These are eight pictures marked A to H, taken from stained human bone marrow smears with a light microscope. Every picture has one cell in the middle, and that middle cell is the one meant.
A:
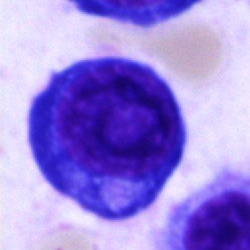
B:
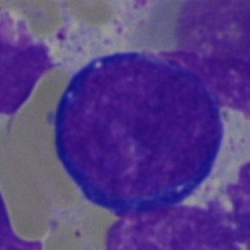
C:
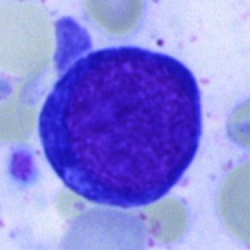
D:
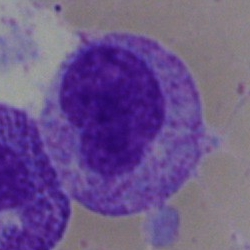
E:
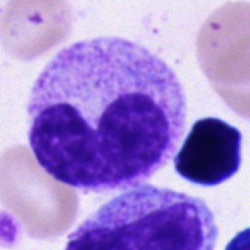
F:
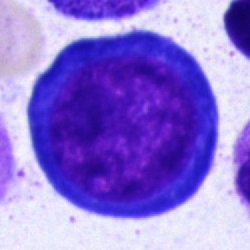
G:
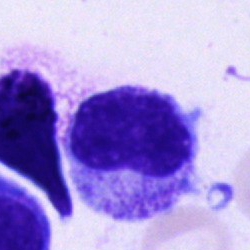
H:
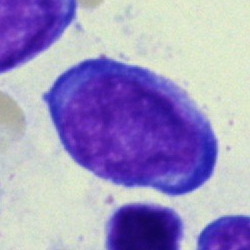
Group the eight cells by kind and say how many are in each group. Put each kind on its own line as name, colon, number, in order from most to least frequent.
proerythroblast: 5
metamyelocyte: 3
